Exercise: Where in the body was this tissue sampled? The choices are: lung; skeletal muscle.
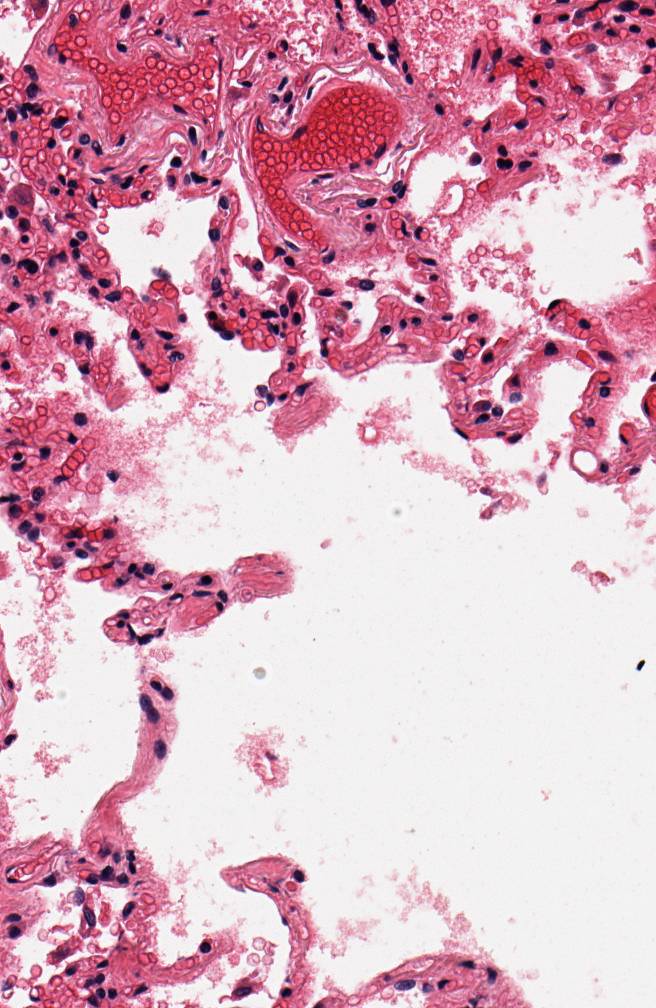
lung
